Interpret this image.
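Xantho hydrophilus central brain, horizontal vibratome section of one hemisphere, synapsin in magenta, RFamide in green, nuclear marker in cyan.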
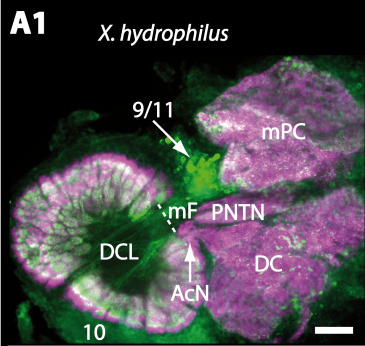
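On the left lies a large rounded lobe built of many wedge-shaped columns arranged radially around a dark core, with a bright magenta-white rim at the periphery. To the right are large magenta-white neuropil masses of the protocerebrum and deutocerebrum. Between them, near the top, a cluster of bright green cell bodies lies in the cell-body rind. A small knobby neuropil sits at the junction of the lobes, and green fibres run through the darker regions between them.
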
